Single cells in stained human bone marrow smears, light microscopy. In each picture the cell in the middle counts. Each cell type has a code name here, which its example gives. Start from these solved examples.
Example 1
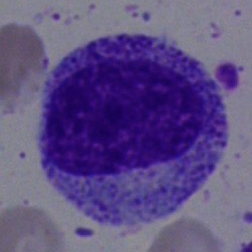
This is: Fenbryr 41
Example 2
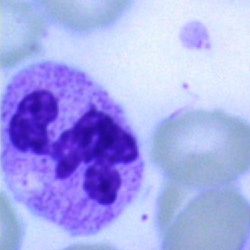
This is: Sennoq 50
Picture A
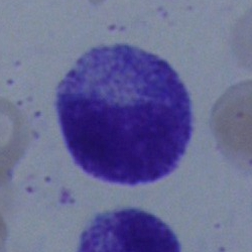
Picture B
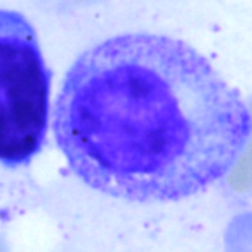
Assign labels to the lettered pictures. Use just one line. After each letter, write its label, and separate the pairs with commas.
A Fenbryr 41, B Fenbryr 41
